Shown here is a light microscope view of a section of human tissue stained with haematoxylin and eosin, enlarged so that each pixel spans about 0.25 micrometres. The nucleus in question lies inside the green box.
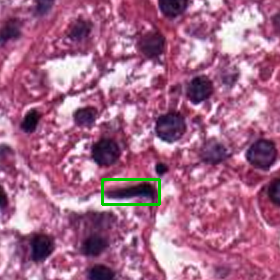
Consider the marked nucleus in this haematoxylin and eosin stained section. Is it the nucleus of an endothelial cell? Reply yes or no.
yes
